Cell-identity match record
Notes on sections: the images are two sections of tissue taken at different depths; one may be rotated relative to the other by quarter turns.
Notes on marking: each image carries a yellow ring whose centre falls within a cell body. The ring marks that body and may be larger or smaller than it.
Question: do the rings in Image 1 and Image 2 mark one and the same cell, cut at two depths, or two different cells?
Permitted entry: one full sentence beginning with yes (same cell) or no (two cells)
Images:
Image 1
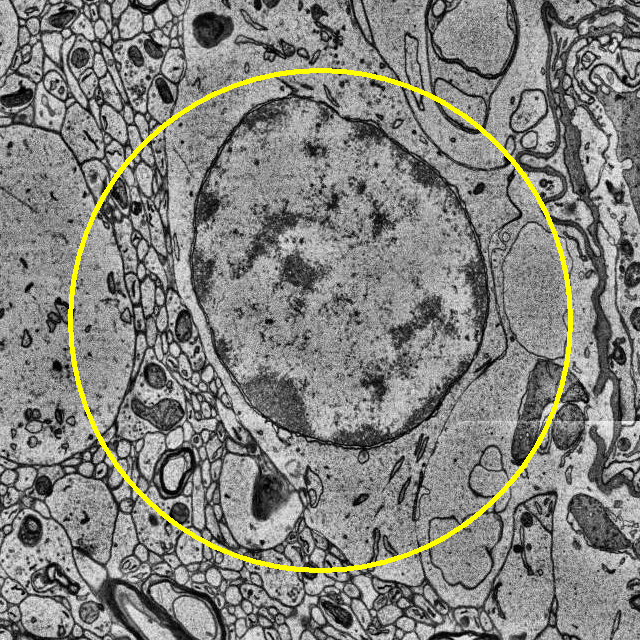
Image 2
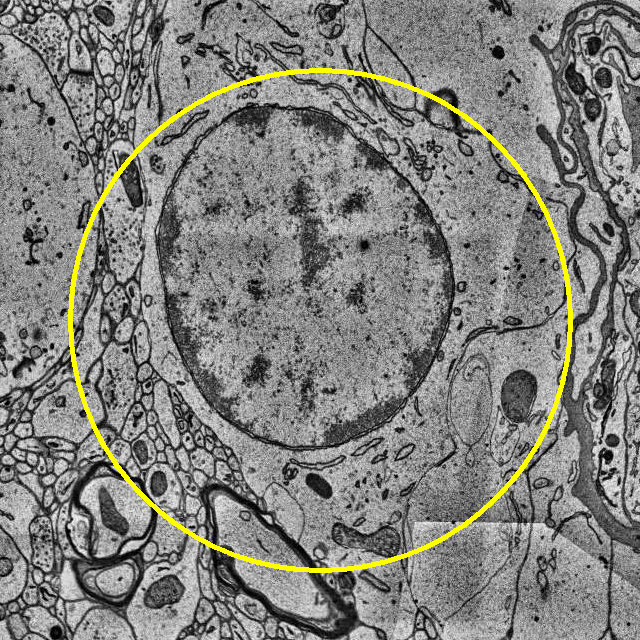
Yes, one single cell is under each of the two rings.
